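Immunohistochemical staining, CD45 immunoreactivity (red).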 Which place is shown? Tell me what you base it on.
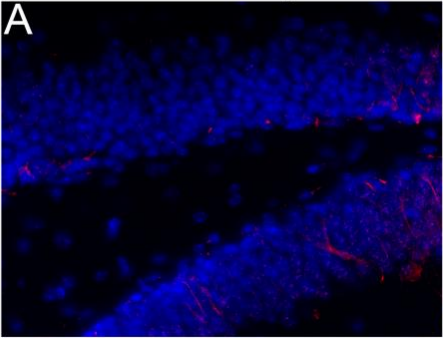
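Dentate gyrus. Two curved bands of densely packed blue nuclei run roughly parallel. A sparsely nucleated zone lies between the two bands.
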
